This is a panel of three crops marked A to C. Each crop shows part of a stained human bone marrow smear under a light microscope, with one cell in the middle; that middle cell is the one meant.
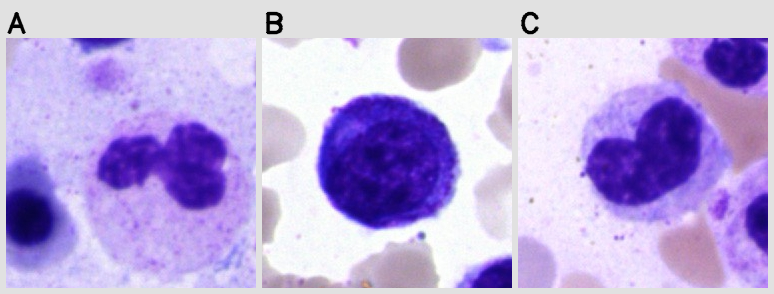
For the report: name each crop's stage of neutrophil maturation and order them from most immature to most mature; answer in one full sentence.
What results from ordering by maturity, least to most, is crop B (a promyelocyte), crop C (a metamyelocyte) and crop A (a segmented neutrophil).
